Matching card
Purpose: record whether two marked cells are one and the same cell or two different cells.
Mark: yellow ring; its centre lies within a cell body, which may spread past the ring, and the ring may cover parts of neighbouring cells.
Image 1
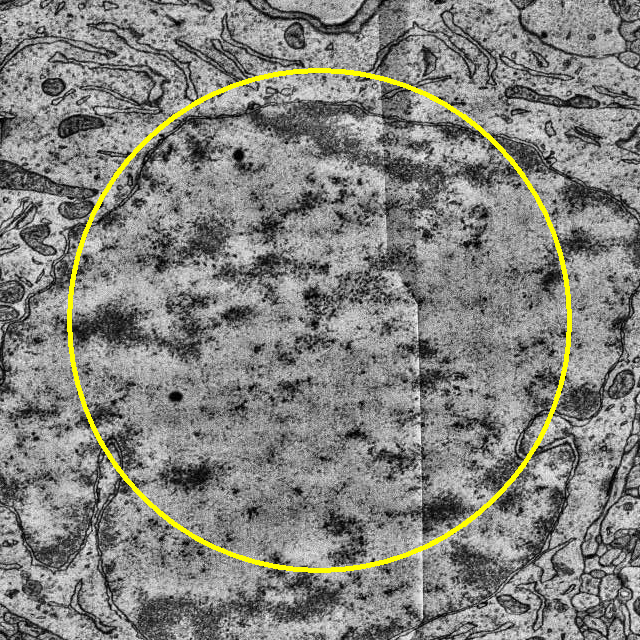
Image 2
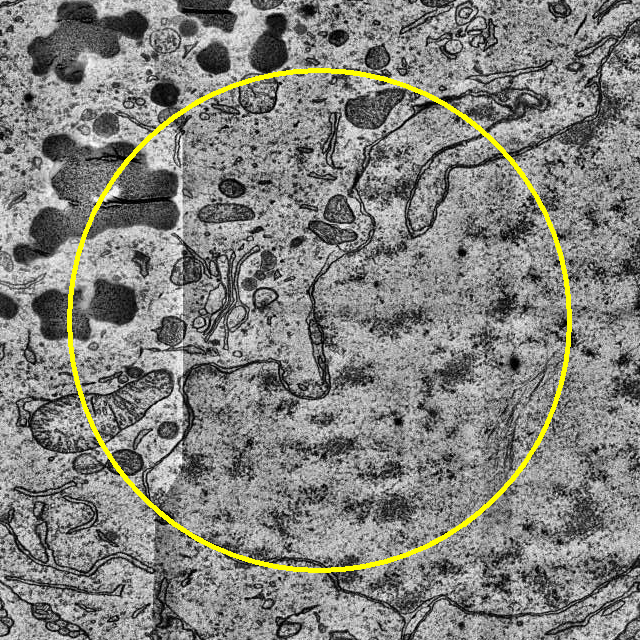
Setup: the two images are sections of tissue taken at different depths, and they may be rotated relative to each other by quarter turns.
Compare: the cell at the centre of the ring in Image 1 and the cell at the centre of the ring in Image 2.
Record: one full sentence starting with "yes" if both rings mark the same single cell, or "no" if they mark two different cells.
No, it is two different cells that the rings mark.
